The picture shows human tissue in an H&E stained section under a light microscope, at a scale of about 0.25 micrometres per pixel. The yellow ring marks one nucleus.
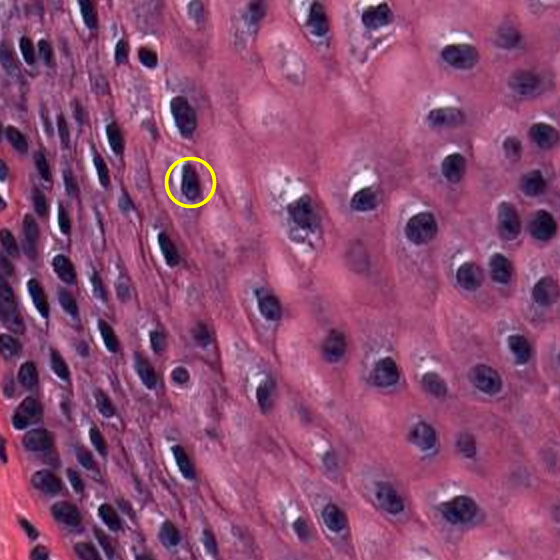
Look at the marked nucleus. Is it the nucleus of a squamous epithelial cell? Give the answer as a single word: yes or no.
yes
